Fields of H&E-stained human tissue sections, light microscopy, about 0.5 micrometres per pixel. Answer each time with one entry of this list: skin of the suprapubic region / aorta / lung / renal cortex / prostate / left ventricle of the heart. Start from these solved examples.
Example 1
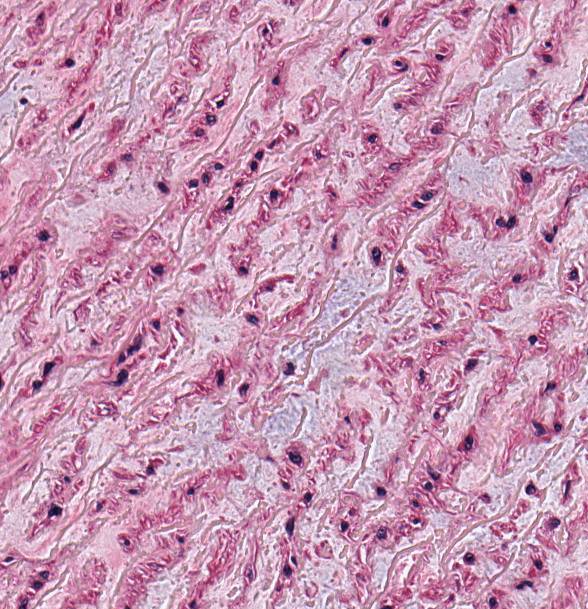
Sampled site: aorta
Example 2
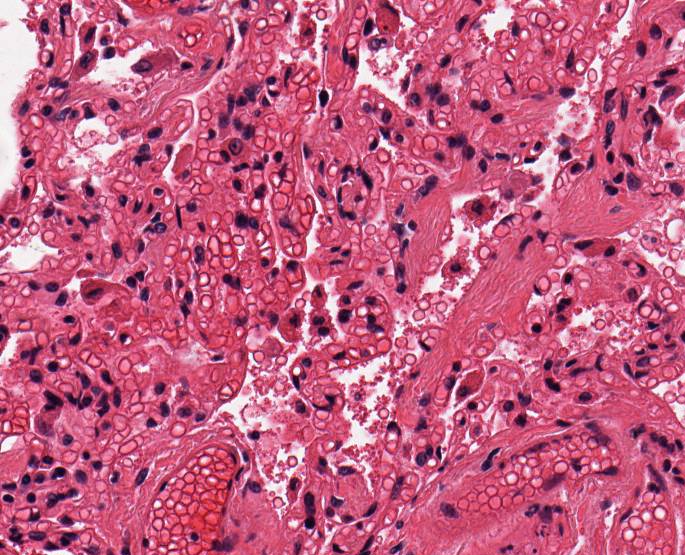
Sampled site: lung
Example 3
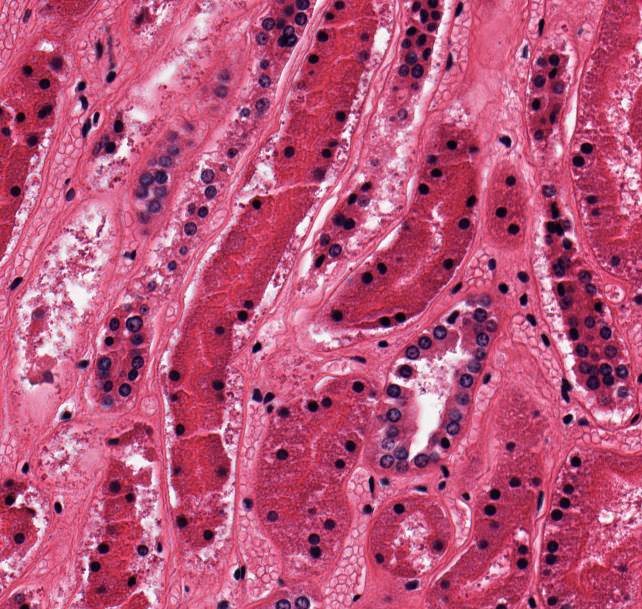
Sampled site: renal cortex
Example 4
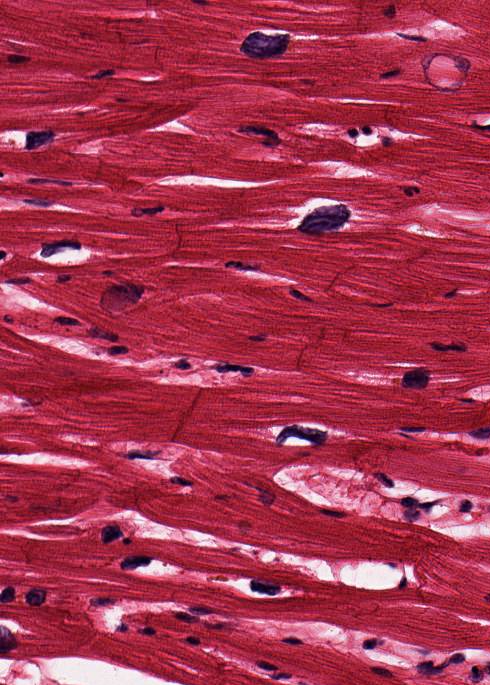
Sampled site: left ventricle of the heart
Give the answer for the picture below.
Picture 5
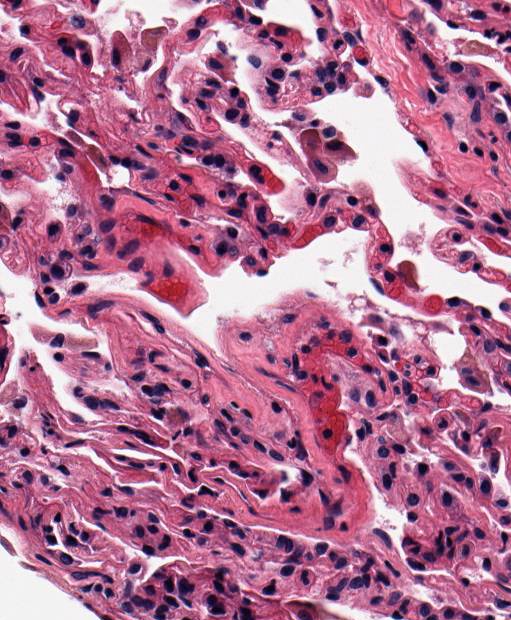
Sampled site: lung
